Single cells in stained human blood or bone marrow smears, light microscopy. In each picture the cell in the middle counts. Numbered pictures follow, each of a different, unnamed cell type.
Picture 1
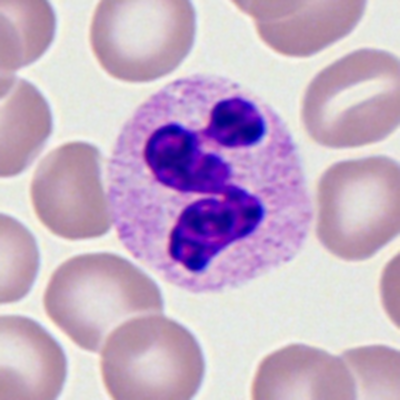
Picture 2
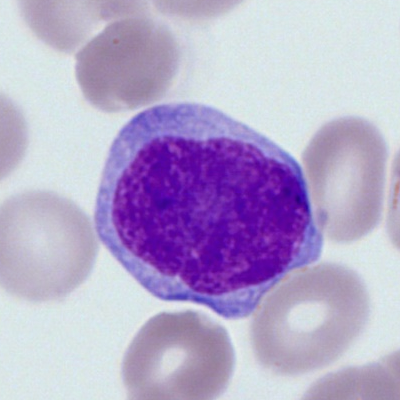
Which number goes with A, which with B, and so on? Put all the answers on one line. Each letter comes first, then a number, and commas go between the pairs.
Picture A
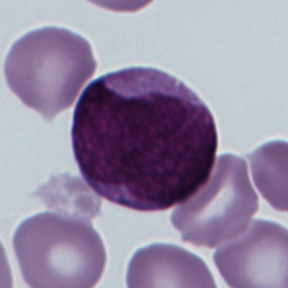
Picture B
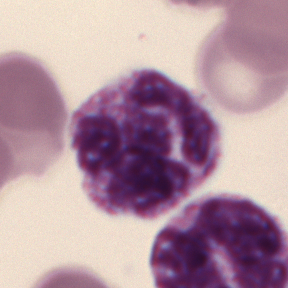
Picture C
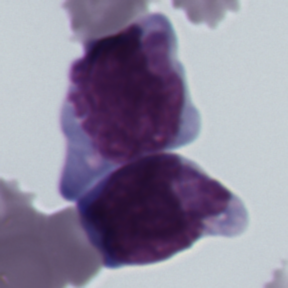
A 2, B 1, C 2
